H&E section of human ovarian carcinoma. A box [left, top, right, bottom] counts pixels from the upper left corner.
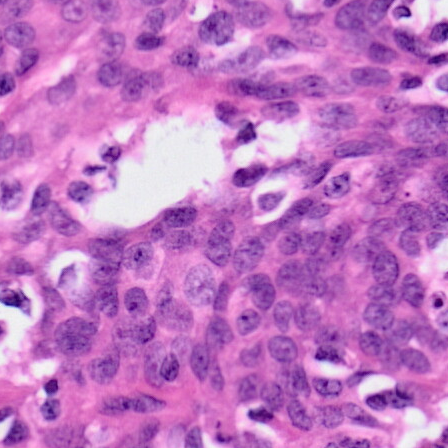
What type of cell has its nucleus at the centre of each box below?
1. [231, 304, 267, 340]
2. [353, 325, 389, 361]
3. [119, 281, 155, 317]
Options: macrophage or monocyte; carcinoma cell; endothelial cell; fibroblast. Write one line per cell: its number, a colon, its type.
1: macrophage or monocyte
2: carcinoma cell
3: carcinoma cell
